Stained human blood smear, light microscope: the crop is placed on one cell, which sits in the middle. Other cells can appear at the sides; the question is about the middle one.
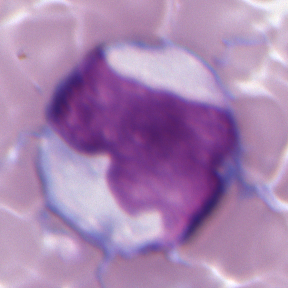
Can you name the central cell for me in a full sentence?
The cell sitting right in the middle is a monocyte.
